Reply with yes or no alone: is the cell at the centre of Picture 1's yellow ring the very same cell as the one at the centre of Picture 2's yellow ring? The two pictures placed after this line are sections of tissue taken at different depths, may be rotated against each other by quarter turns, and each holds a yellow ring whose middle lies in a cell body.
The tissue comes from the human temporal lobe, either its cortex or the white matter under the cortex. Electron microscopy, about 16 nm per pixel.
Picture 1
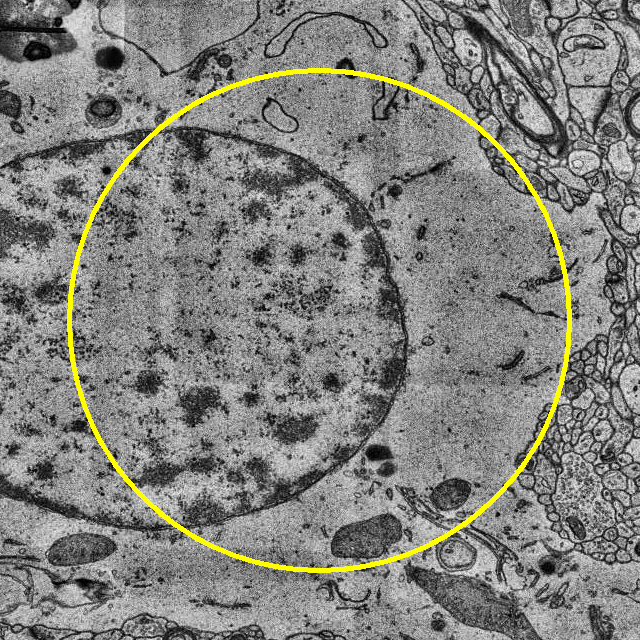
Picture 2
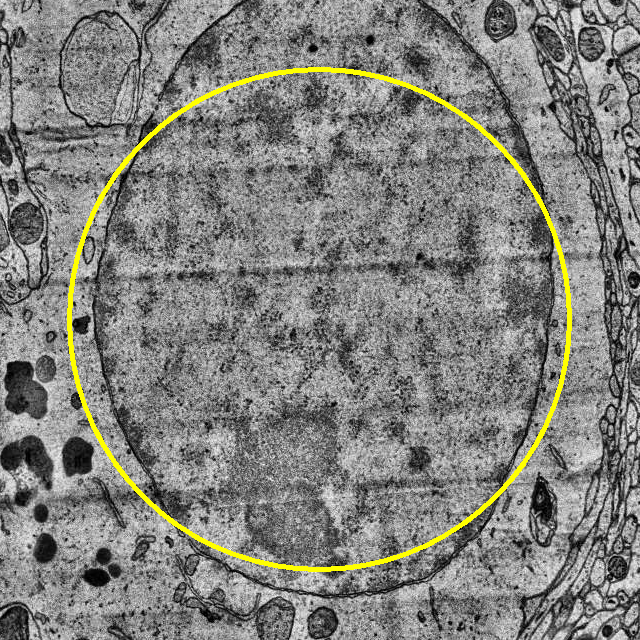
no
